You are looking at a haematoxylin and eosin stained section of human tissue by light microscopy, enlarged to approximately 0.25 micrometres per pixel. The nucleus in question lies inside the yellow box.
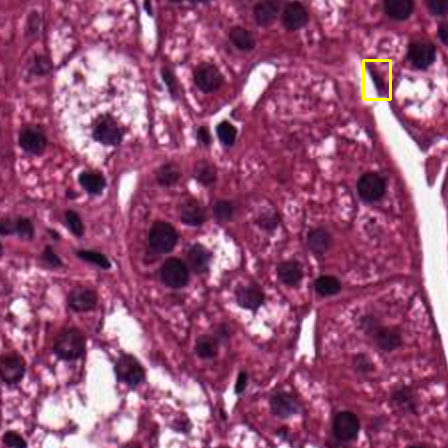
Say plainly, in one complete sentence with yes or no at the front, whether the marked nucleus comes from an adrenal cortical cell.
No, what the marked nucleus belongs to is a supporting cell, not an adrenal cortical cell.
